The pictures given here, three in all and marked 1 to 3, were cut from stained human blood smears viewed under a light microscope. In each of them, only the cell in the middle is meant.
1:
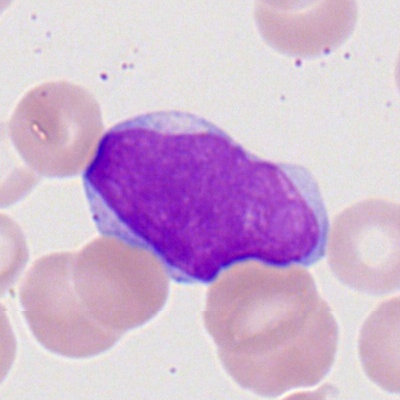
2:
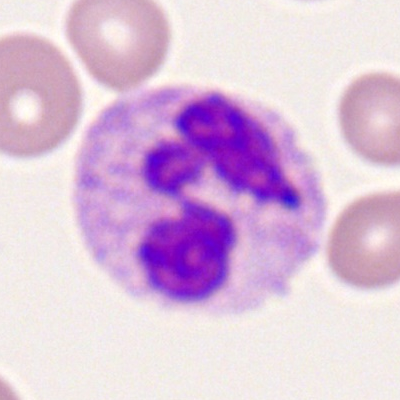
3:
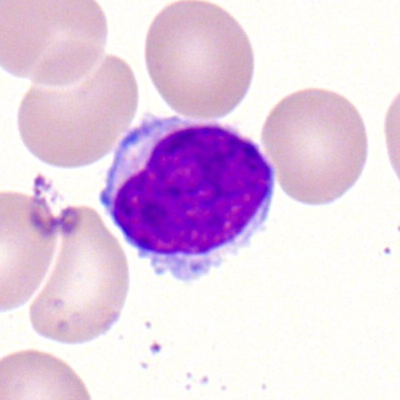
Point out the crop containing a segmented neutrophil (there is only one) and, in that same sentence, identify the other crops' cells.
Crop 2 is showing a segmented neutrophil, while crop 1 is a myeloblast and crop 3 is a lymphocyte.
